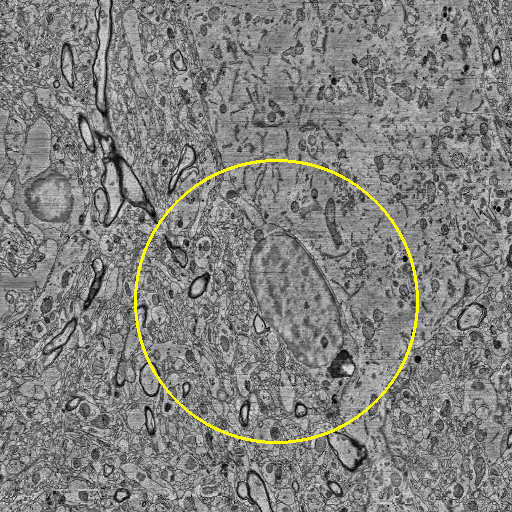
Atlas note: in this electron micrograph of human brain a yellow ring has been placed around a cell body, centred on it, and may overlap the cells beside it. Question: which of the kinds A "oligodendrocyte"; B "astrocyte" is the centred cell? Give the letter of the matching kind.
A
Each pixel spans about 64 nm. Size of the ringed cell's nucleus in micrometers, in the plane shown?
Roughly 10 micrometres by 5 micrometres, so the nucleus is clearly longer than it is wide in this plane.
